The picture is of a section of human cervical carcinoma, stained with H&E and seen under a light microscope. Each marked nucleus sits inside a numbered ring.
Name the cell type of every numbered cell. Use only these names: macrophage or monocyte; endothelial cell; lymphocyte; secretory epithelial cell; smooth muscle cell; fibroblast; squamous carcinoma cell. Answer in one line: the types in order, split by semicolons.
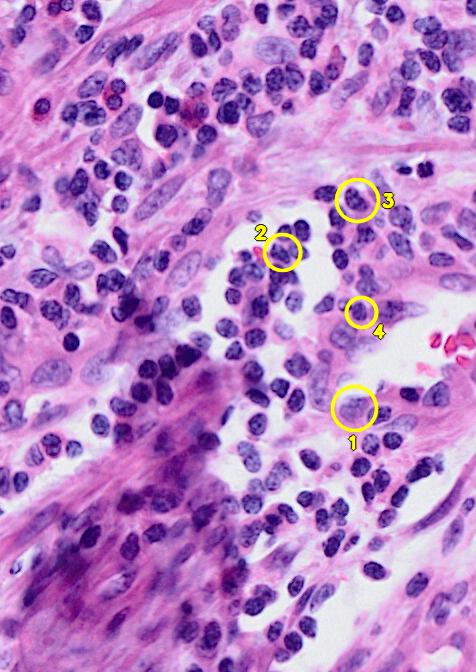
endothelial cell; lymphocyte; lymphocyte; lymphocyte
